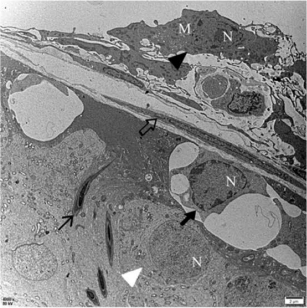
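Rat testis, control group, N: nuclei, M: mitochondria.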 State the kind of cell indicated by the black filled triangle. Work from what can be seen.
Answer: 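The marked cell lies outside the layered tubule wall. Its cytoplasm is dense and holds many mitochondria. So: Leydig cell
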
